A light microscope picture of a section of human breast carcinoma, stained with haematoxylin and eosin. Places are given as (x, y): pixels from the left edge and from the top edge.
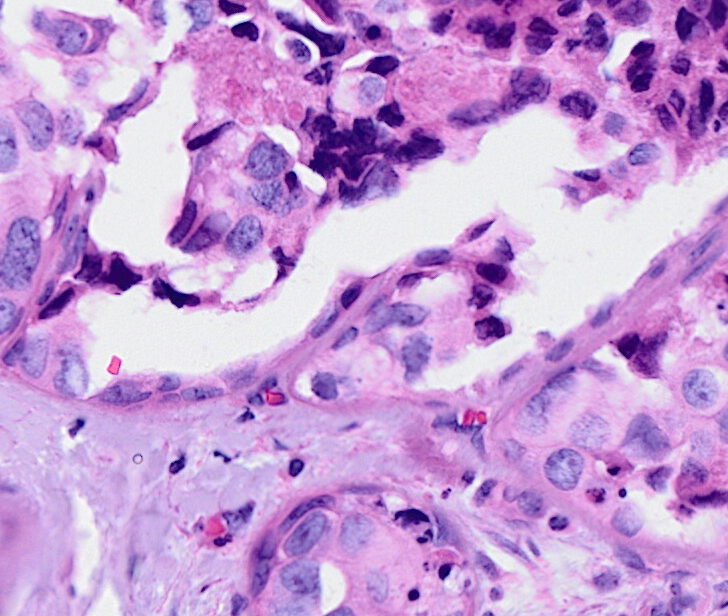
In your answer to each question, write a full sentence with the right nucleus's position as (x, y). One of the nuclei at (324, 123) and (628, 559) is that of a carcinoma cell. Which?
Out of the two, it is the nucleus at (324, 123) that belongs to a carcinoma cell.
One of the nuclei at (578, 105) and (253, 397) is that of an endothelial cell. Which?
The nucleus situated at (253, 397) is the one belonging to an endothelial cell.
